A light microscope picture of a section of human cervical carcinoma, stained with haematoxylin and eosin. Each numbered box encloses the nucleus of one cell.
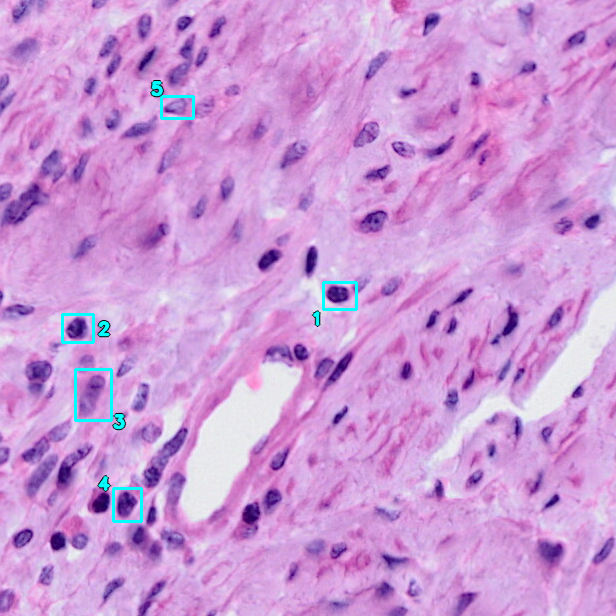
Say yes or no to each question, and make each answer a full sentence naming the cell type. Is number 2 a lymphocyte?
Yes, the cell at number 2 is a lymphocyte.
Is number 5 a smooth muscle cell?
Yes, correct, the cell with the number 5 is a smooth muscle cell.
